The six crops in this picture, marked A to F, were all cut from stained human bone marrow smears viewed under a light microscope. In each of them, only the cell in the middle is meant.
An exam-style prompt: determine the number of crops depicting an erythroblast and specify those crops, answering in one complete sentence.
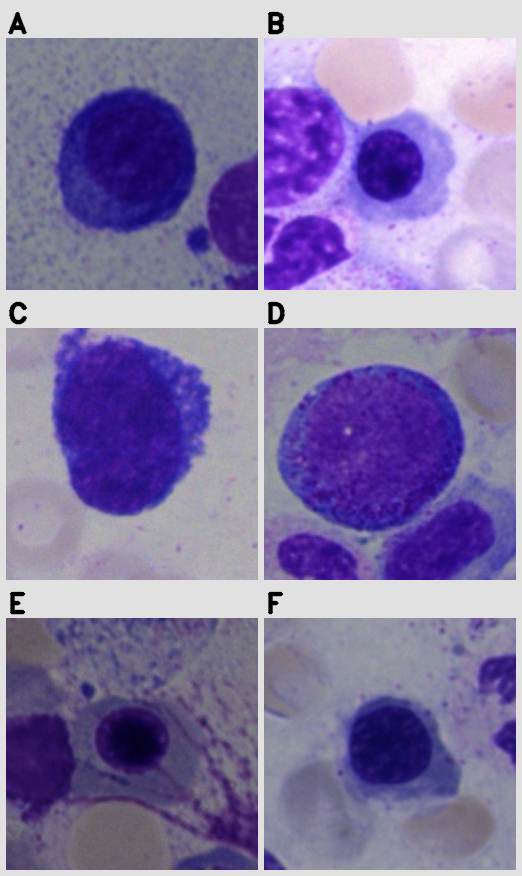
A total of three crops, B, E and F, show erythroblasts.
